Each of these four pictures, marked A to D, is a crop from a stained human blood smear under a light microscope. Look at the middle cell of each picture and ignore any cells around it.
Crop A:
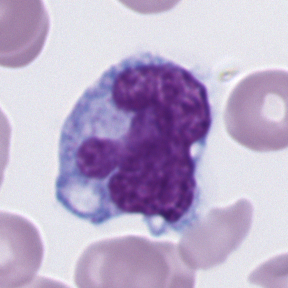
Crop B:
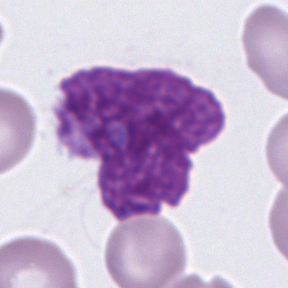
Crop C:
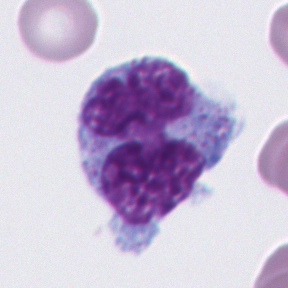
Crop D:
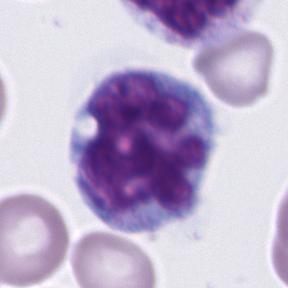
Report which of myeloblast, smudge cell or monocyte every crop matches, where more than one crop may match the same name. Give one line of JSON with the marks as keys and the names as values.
{"A": "monocyte", "B": "smudge cell", "C": "monocyte", "D": "monocyte"}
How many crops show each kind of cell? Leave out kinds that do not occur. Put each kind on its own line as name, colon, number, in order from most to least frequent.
monocyte: 3
smudge cell: 1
